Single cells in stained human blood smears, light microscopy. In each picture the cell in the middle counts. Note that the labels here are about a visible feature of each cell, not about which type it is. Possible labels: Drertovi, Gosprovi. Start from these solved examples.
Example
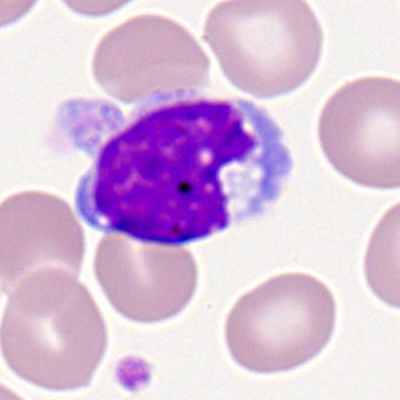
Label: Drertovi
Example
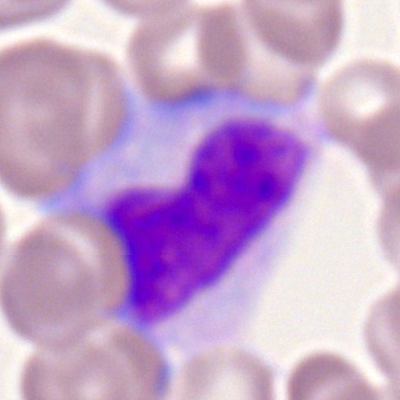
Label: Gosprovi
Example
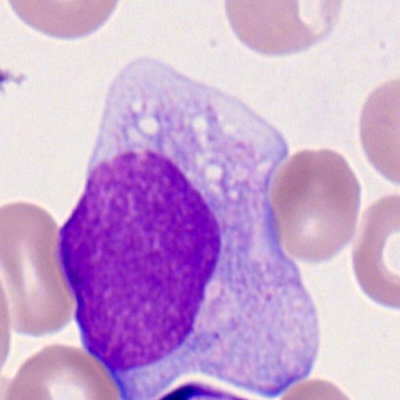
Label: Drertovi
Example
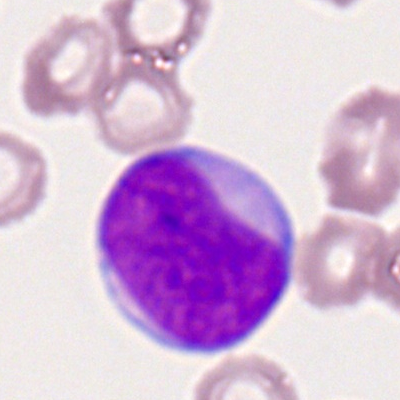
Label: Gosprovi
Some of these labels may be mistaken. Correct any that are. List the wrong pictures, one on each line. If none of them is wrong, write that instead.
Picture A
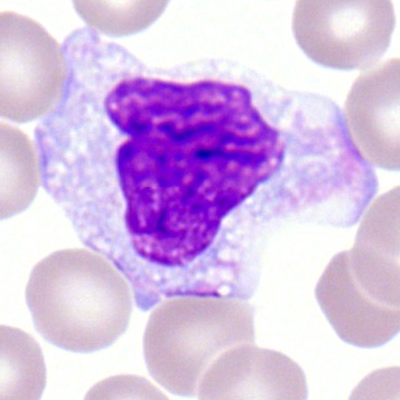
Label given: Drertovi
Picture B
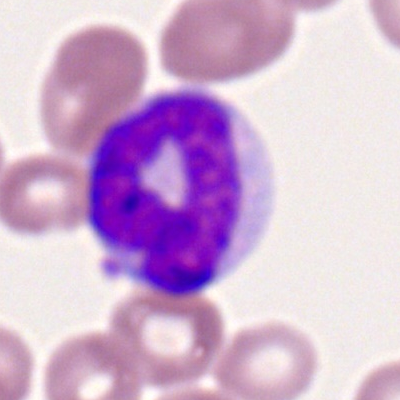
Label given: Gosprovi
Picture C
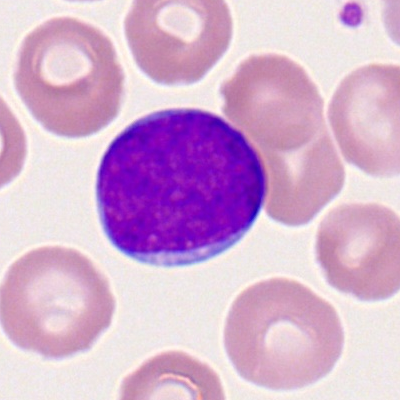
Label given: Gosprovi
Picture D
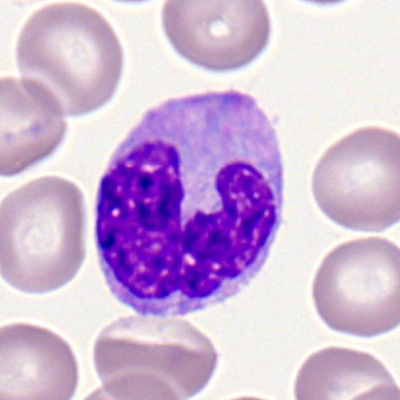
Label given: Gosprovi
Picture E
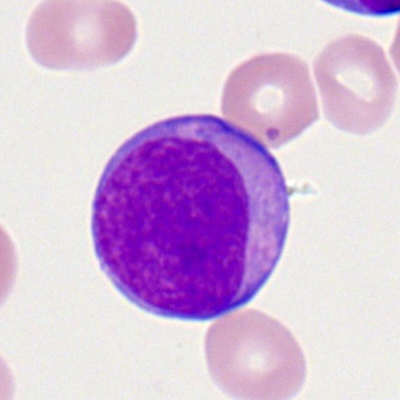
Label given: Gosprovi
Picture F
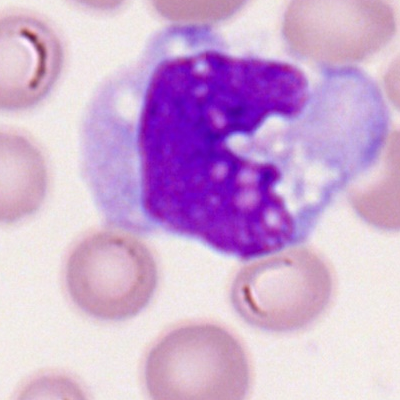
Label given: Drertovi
All correct.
